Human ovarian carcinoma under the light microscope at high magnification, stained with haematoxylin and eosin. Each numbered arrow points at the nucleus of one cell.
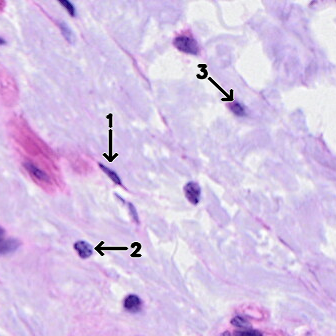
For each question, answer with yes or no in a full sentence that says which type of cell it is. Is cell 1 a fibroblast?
Yes, the one numbered 1 is a fibroblast.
